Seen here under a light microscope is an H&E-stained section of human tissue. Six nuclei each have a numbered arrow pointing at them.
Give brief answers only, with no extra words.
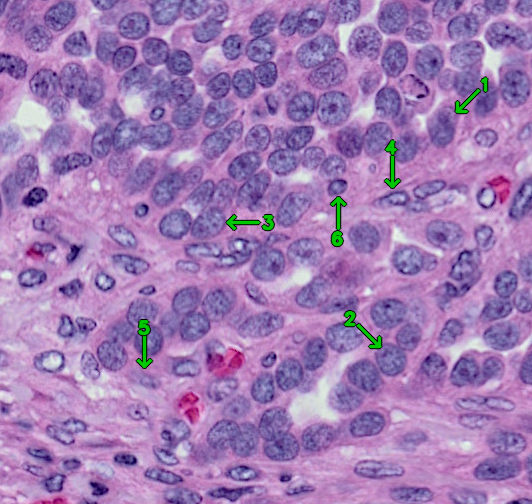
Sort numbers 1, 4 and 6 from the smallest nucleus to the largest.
6, 4, 1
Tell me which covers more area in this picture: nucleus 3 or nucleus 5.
3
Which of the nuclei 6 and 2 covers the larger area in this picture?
2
